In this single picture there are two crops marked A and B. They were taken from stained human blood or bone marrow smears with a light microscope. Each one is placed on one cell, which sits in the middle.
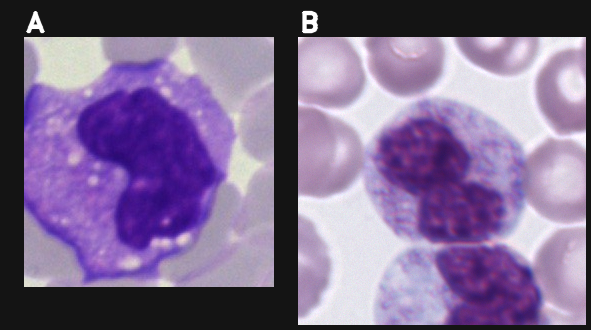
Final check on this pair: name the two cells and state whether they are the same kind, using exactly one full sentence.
No, a monocyte is the subject of crop A, and a band neutrophil is the subject of crop B.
